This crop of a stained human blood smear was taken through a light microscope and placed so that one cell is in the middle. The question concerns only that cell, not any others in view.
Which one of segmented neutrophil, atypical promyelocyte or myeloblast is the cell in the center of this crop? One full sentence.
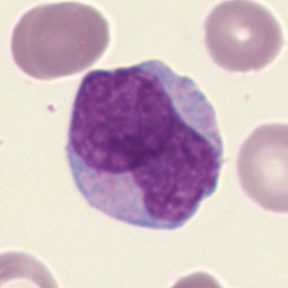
The cell at the heart of this crop is an atypical promyelocyte.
